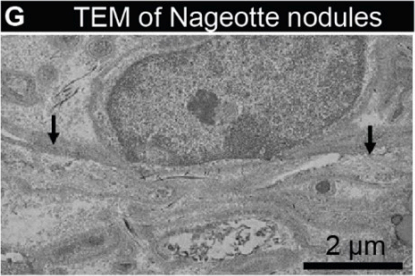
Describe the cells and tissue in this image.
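A large oval nucleus with finely granular chromatin and a darker nucleolus fills the upper part of the field. Below it, thin elongated cell processes and fibers run roughly horizontally, stacked in layers separated by narrow clefts and membranes. None of these slender fibers is wrapped in a thick, dark myelin sheath.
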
